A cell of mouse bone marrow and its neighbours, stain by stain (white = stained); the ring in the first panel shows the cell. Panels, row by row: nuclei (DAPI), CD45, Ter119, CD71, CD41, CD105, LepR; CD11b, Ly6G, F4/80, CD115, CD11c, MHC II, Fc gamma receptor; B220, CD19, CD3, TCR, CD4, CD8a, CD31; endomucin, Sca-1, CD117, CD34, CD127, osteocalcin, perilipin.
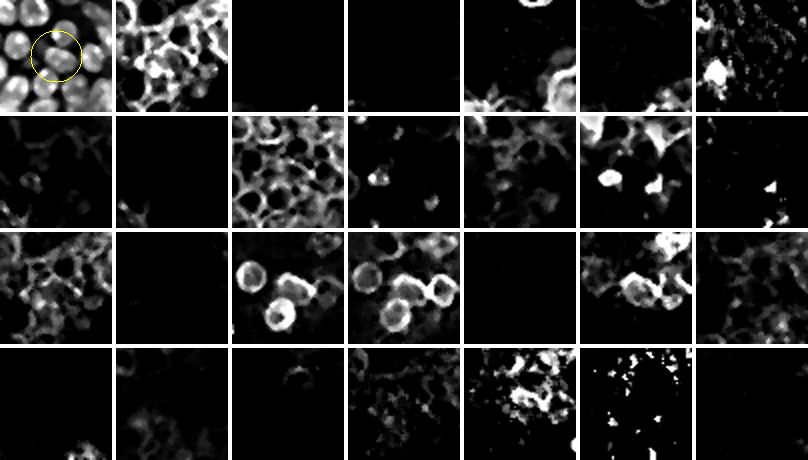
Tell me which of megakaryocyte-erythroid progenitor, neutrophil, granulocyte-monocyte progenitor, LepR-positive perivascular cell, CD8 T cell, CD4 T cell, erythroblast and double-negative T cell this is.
The picture shows a CD8 T cell.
